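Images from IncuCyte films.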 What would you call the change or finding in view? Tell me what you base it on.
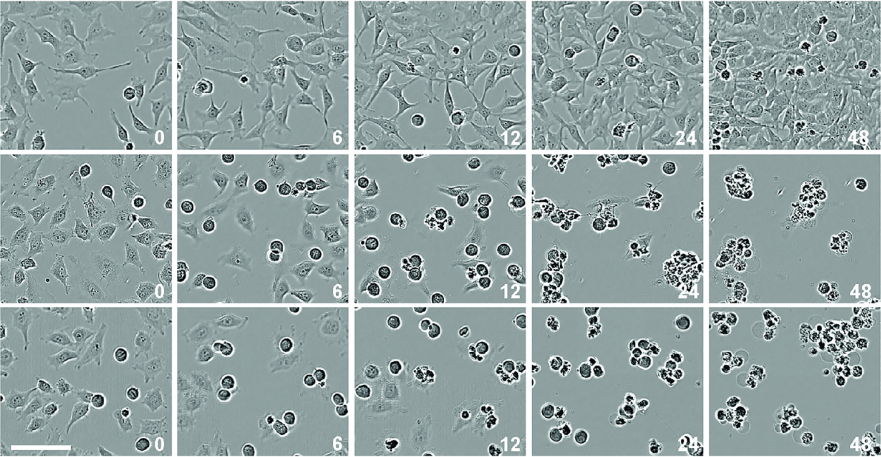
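Mitotic accumulation followed by cell death. In the lower two rows, flat spread cells give way to many small, round, bright-edged cells in the early frames. In the later frames of the lower two rows, cells appear as clumped, granular, fragmented masses. The top row keeps flat, spread cells that become denser over time.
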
